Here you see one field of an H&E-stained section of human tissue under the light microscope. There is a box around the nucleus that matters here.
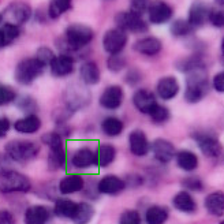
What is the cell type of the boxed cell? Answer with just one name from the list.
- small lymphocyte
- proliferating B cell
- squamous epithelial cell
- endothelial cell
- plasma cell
small lymphocyte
